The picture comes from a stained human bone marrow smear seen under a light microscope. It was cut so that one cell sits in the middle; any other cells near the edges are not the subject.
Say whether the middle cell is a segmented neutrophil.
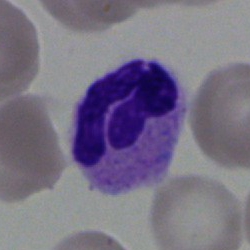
yes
